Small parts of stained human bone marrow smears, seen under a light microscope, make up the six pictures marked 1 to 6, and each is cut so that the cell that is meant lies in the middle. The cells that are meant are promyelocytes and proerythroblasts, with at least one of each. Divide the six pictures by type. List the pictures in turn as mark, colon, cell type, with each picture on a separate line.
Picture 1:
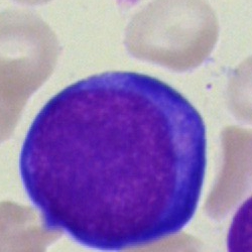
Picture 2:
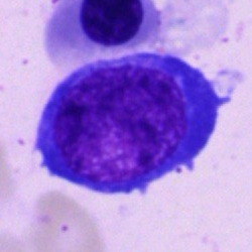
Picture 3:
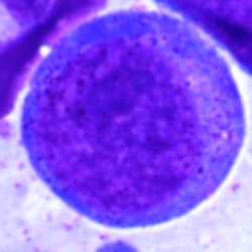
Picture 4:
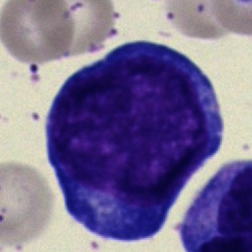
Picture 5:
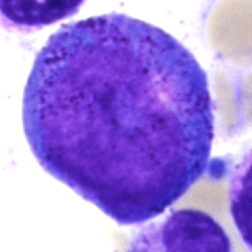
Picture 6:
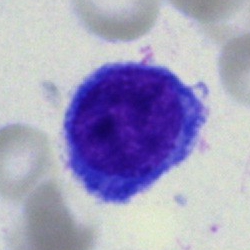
1: proerythroblast
2: proerythroblast
3: promyelocyte
4: proerythroblast
5: promyelocyte
6: proerythroblast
